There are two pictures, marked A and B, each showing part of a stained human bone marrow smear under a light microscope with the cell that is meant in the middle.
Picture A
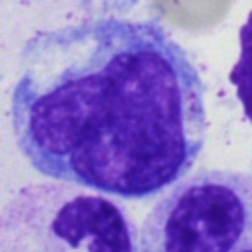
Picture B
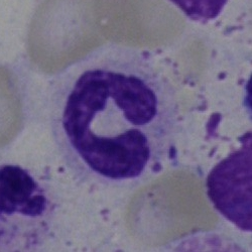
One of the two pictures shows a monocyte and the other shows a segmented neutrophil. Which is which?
A: monocyte
B: segmented neutrophil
